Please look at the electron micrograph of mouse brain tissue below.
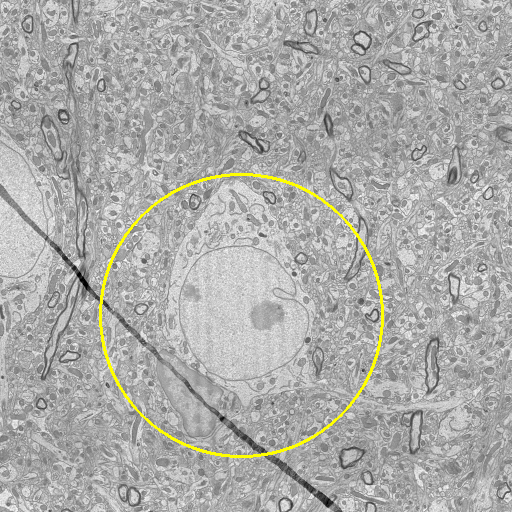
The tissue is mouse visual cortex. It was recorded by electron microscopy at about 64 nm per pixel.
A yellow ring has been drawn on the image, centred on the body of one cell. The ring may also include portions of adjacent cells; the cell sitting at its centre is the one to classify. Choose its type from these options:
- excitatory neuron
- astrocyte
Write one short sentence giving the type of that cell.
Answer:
The cell in the middle of the ring is an excitatory neuron.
